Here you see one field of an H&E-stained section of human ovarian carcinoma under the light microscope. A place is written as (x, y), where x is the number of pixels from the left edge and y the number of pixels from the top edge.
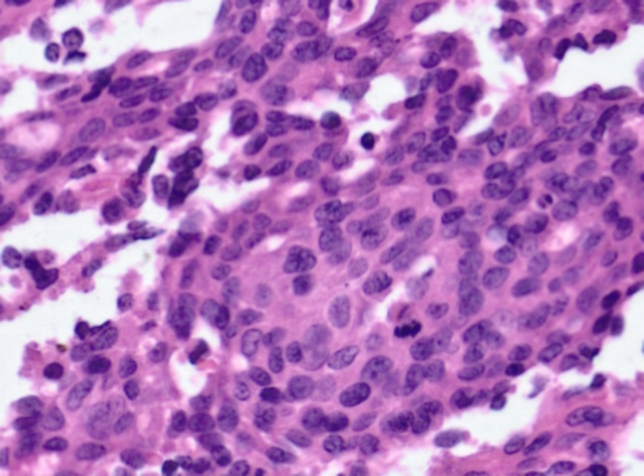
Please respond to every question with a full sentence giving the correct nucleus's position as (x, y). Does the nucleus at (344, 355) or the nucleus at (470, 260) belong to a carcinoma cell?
Between the two nuclei, the one sitting at (470, 260) belongs to a carcinoma cell.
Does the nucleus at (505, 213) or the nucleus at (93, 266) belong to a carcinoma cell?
In this pair, the nucleus at (505, 213) belongs to a carcinoma cell.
